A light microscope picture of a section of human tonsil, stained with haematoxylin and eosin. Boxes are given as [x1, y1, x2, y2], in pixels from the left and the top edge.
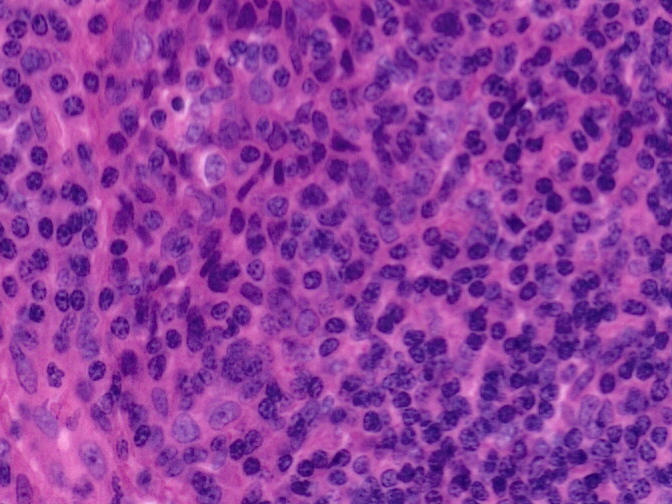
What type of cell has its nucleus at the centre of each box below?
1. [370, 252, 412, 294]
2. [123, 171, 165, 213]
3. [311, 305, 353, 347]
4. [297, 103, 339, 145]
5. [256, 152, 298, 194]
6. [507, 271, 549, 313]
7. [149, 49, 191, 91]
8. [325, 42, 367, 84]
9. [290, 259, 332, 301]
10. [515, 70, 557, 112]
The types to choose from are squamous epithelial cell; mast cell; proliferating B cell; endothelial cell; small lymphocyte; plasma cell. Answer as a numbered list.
1. plasma cell
2. squamous epithelial cell
3. plasma cell
4. squamous epithelial cell
5. squamous epithelial cell
6. plasma cell
7. squamous epithelial cell
8. squamous epithelial cell
9. plasma cell
10. plasma cell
